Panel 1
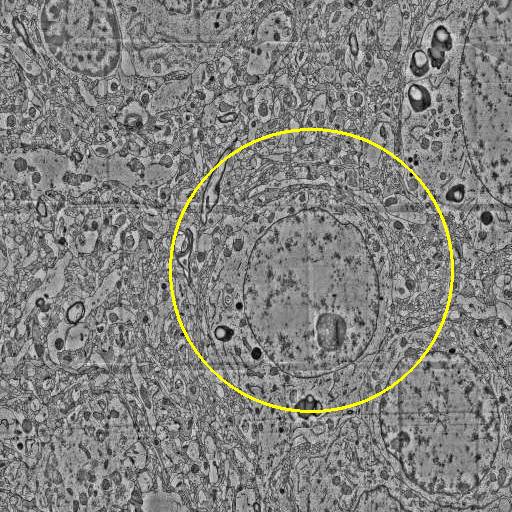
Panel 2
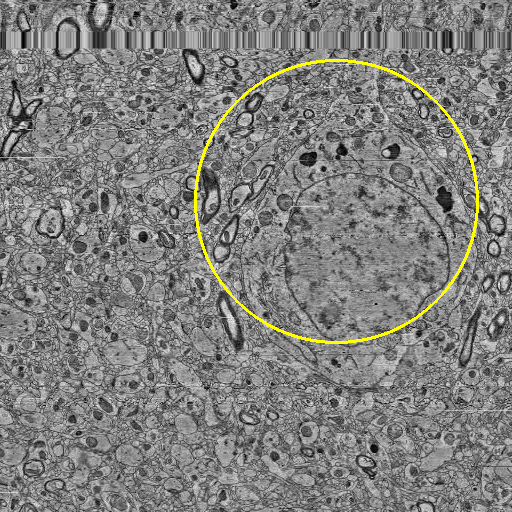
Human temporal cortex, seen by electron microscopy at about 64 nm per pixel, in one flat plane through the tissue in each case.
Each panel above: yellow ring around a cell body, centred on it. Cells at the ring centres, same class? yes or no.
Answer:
yes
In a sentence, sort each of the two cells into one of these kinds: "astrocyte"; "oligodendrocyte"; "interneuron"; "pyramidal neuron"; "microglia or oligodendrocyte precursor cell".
The first and the second cell are each a pyramidal neuron.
